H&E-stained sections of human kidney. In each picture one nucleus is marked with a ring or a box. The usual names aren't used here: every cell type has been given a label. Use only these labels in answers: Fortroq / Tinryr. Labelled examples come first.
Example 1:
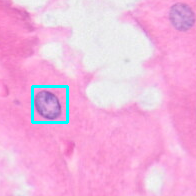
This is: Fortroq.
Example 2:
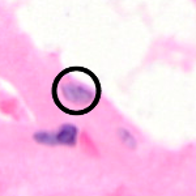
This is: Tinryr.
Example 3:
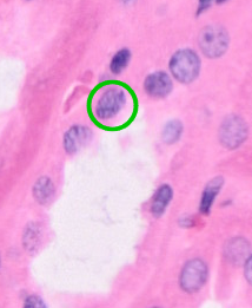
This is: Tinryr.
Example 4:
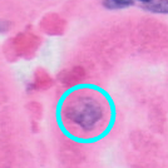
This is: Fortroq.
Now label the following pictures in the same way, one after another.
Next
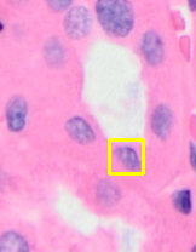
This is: Tinryr.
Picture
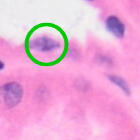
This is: Tinryr.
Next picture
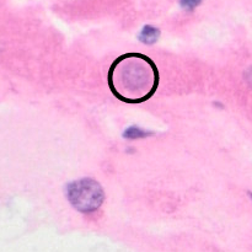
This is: Fortroq.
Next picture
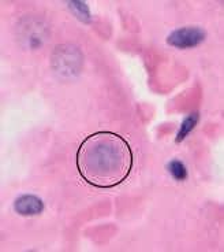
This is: Fortroq.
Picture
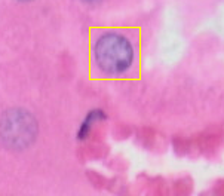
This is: Fortroq.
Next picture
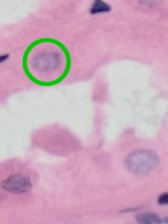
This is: Fortroq.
